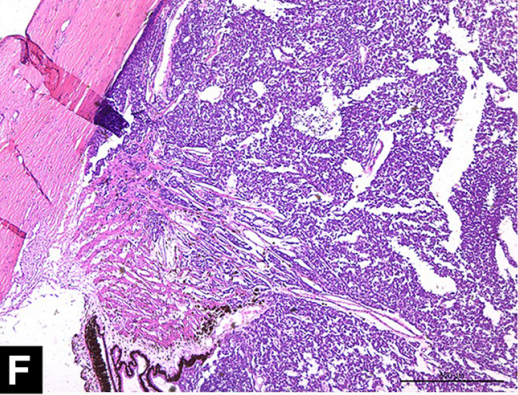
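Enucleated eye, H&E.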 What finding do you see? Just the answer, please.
Tumor invasion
